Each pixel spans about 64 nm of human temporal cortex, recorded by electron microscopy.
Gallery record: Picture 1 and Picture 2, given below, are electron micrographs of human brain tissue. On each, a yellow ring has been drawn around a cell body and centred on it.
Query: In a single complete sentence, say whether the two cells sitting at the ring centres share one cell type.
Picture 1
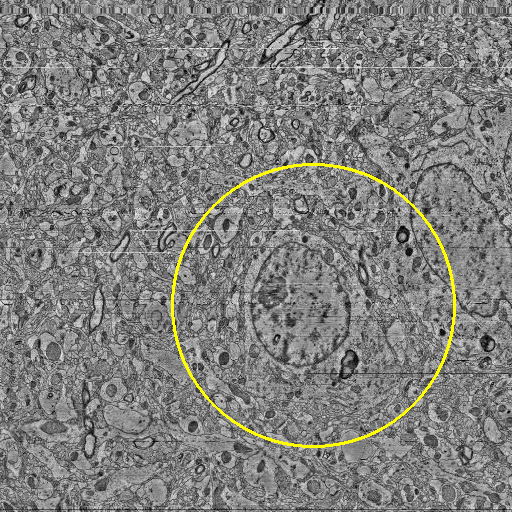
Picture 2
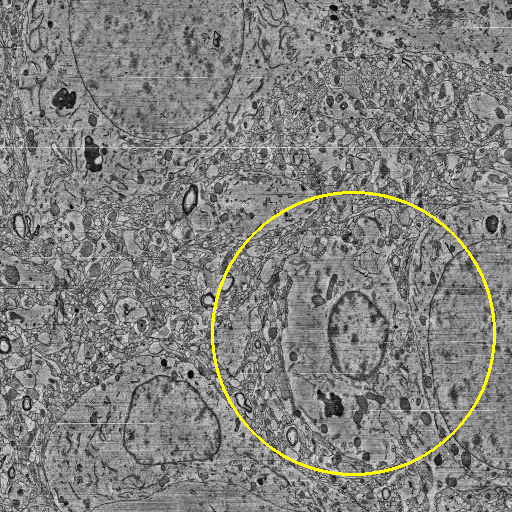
No, in the two pictures the cells at the rings' centres are of two separate types.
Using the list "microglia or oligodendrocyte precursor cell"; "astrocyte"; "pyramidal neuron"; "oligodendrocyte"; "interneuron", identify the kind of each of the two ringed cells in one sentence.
The first is a pyramidal neuron and the second is an astrocyte.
